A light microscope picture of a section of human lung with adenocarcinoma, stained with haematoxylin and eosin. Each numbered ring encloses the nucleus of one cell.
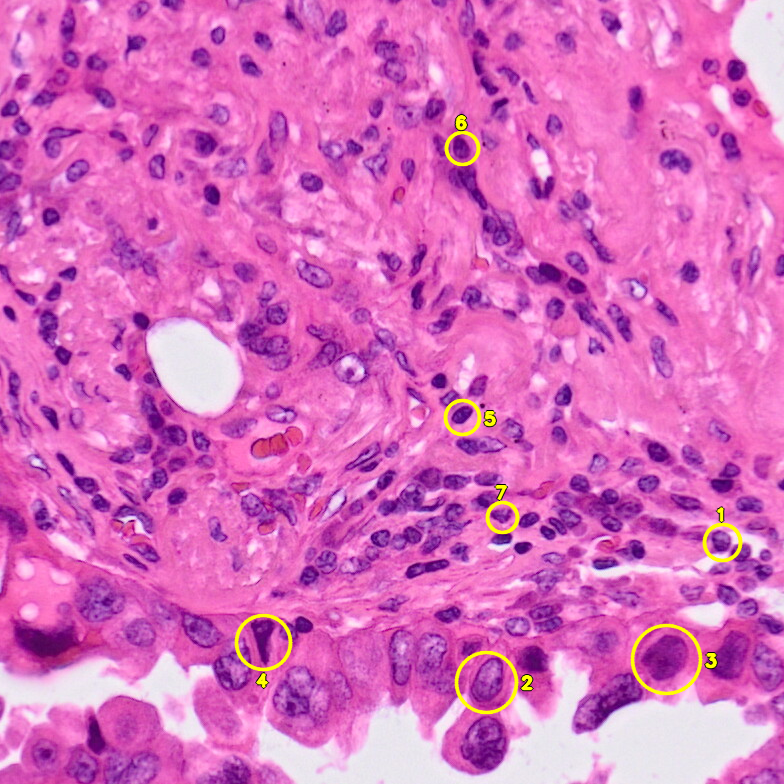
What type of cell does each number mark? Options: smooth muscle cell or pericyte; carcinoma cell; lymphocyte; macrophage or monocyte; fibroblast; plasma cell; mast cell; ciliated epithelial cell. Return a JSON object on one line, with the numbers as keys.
{"1": "lymphocyte", "2": "carcinoma cell", "3": "carcinoma cell", "4": "carcinoma cell", "5": "lymphocyte", "6": "plasma cell", "7": "lymphocyte"}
